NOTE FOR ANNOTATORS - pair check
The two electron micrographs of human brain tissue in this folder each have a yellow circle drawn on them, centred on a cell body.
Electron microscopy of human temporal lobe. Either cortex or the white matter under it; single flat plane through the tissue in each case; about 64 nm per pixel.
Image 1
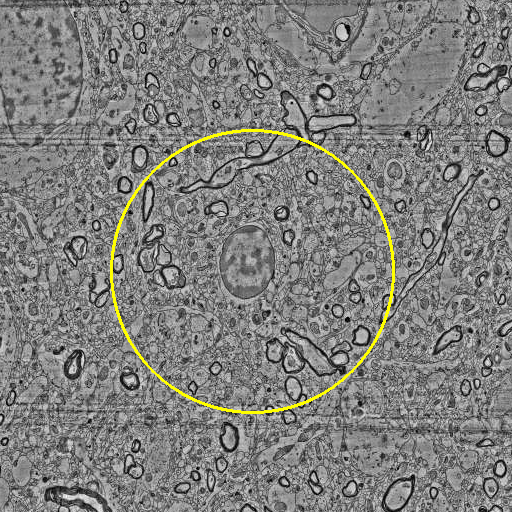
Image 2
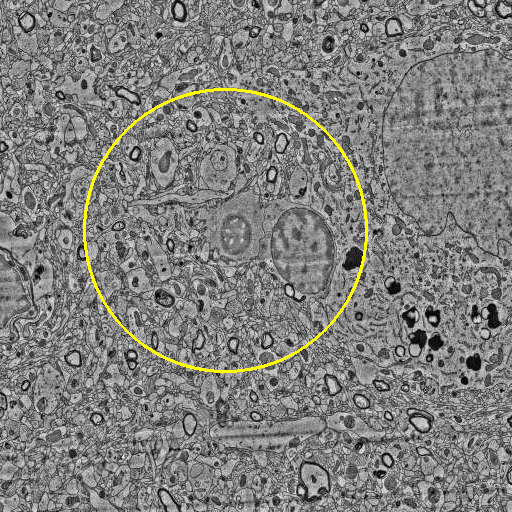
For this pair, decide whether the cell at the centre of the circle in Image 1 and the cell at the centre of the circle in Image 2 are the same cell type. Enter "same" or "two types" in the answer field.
two types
